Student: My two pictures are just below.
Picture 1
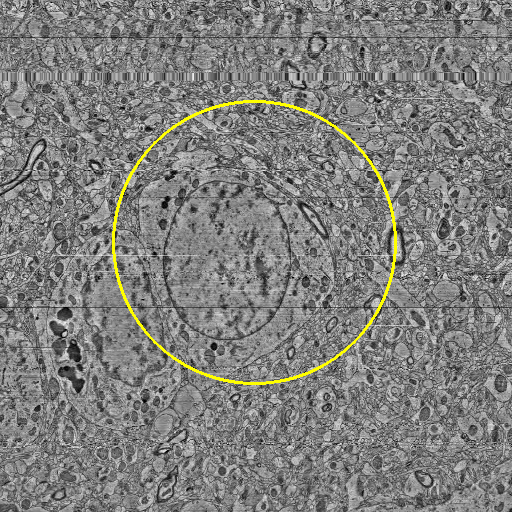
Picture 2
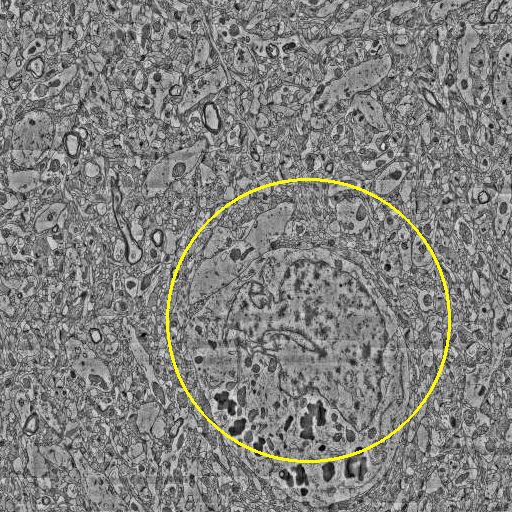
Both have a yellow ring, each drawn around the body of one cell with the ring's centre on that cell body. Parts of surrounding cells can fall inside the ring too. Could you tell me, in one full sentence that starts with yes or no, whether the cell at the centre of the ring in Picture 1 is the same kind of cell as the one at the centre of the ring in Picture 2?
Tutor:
No, the two cells are of two kinds.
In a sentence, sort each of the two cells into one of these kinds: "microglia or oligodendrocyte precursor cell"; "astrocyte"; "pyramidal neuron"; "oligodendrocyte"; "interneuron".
The first of the two cells is a pyramidal neuron, and the second is an interneuron.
